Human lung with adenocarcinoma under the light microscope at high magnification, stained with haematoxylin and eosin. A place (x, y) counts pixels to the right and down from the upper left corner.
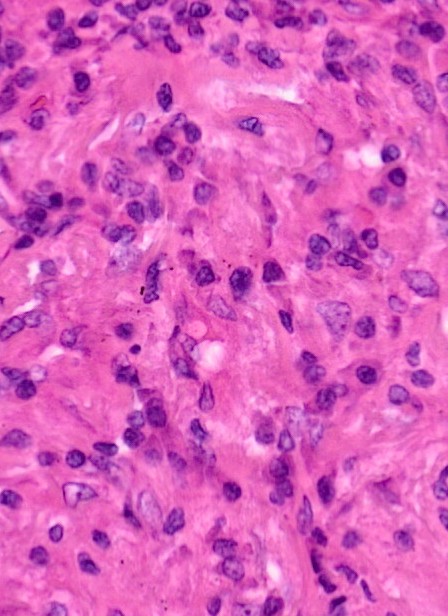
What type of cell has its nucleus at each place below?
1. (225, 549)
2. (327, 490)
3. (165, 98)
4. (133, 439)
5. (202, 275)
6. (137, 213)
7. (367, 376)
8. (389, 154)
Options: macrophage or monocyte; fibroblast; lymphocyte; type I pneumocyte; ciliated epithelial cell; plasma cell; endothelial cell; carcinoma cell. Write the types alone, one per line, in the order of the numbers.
plasma cell
plasma cell
lymphocyte
lymphocyte
plasma cell
lymphocyte
plasma cell
lymphocyte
